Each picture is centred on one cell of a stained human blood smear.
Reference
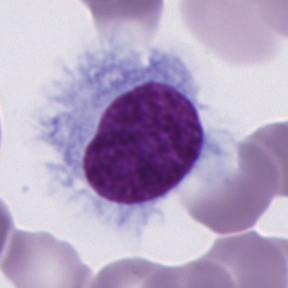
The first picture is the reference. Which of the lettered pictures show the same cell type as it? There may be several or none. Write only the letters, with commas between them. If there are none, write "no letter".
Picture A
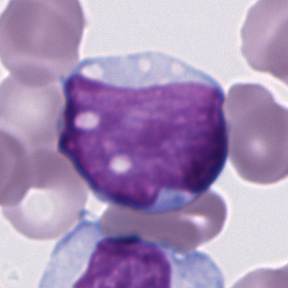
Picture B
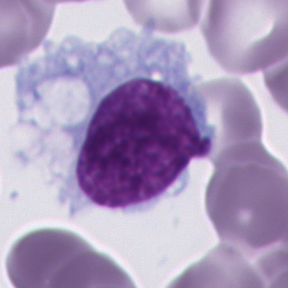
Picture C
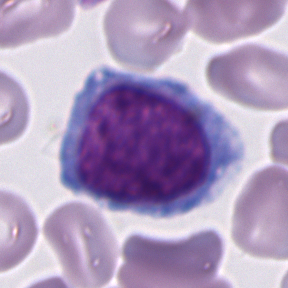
B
